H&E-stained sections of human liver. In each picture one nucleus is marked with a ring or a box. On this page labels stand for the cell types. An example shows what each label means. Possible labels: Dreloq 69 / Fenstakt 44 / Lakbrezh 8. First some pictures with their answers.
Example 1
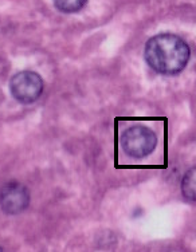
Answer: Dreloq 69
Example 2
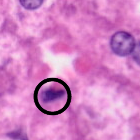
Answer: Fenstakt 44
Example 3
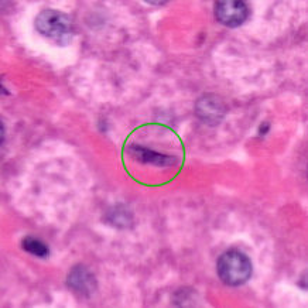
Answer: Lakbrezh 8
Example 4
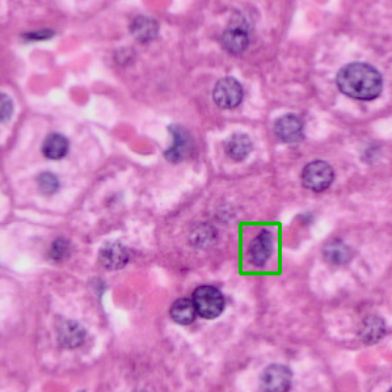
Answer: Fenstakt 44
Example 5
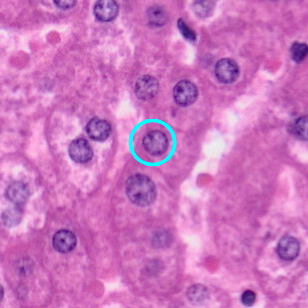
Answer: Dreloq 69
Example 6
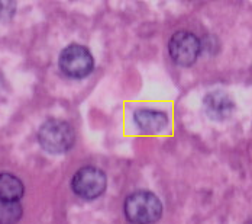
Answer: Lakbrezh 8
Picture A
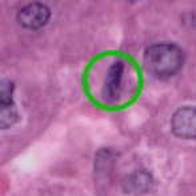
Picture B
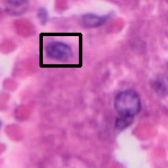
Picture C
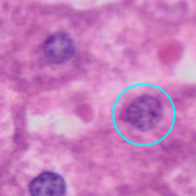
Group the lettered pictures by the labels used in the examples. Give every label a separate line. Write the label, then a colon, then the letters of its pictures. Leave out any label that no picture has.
Dreloq 69: C
Fenstakt 44: A, B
